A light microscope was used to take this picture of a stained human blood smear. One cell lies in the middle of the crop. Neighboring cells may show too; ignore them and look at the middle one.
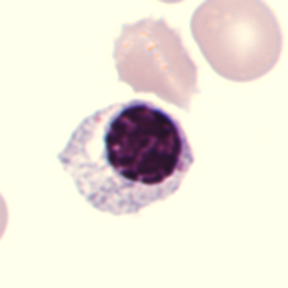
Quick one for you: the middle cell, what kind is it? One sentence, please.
The central element of this crop is a cell, namely a normoblast.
